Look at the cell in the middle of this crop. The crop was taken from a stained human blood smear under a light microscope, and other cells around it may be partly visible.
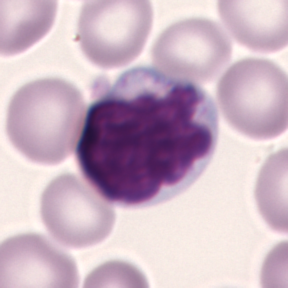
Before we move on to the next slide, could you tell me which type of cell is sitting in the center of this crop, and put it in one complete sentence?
The cell of interest, in the center, is a large granular lymphocyte.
